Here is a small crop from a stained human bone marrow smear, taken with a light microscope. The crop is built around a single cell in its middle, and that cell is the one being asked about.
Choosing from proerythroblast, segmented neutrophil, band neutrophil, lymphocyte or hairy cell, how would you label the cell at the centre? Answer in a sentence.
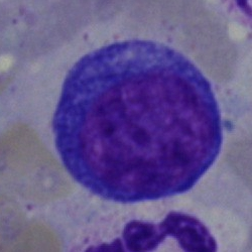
The cell centered in this field of view is a proerythroblast.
